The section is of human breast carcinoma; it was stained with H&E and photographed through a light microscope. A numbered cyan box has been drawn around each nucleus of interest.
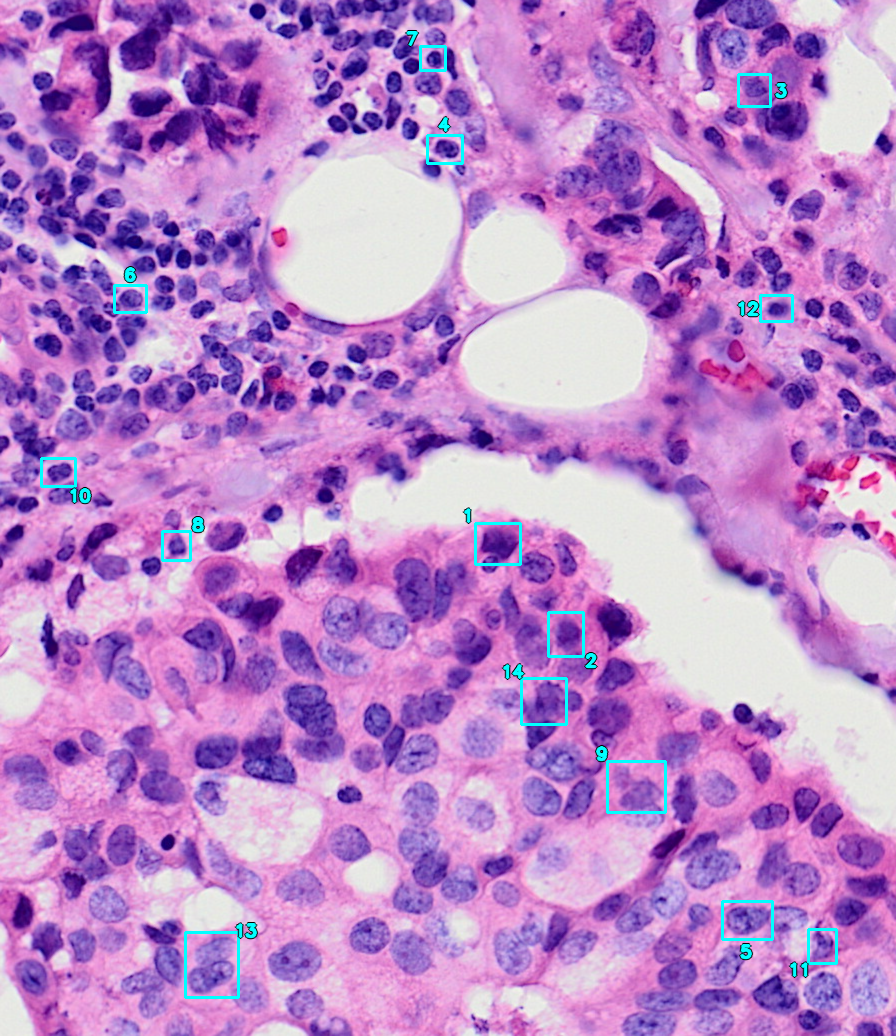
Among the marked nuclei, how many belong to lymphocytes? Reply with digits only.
6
